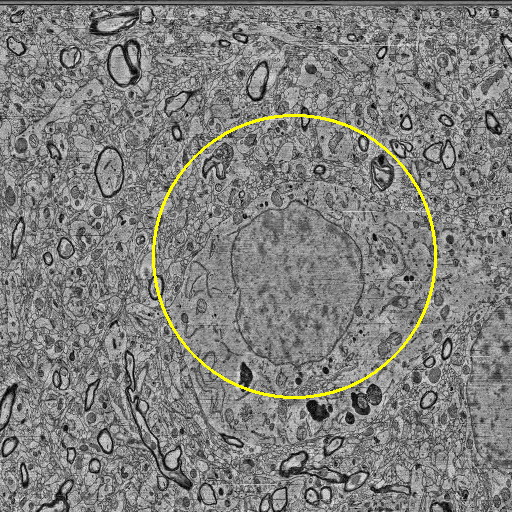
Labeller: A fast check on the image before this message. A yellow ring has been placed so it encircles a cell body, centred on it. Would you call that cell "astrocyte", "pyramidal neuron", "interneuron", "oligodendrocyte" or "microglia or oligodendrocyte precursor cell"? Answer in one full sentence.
In this image, a pyramidal neuron is the cell on which the yellow ring is centred.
